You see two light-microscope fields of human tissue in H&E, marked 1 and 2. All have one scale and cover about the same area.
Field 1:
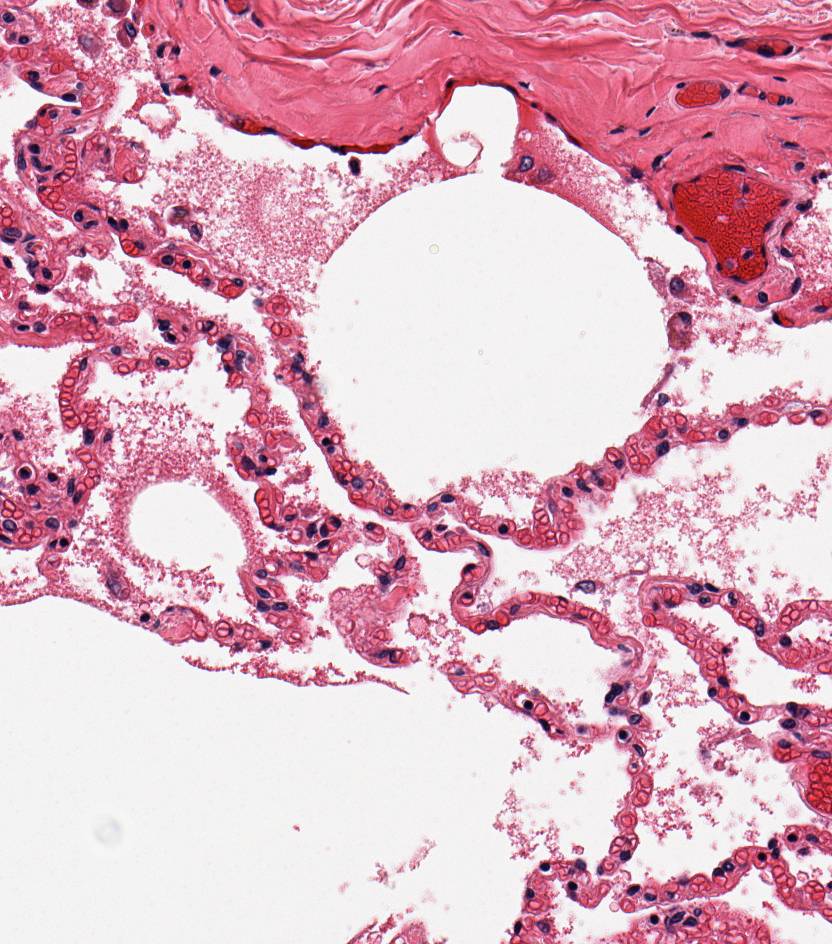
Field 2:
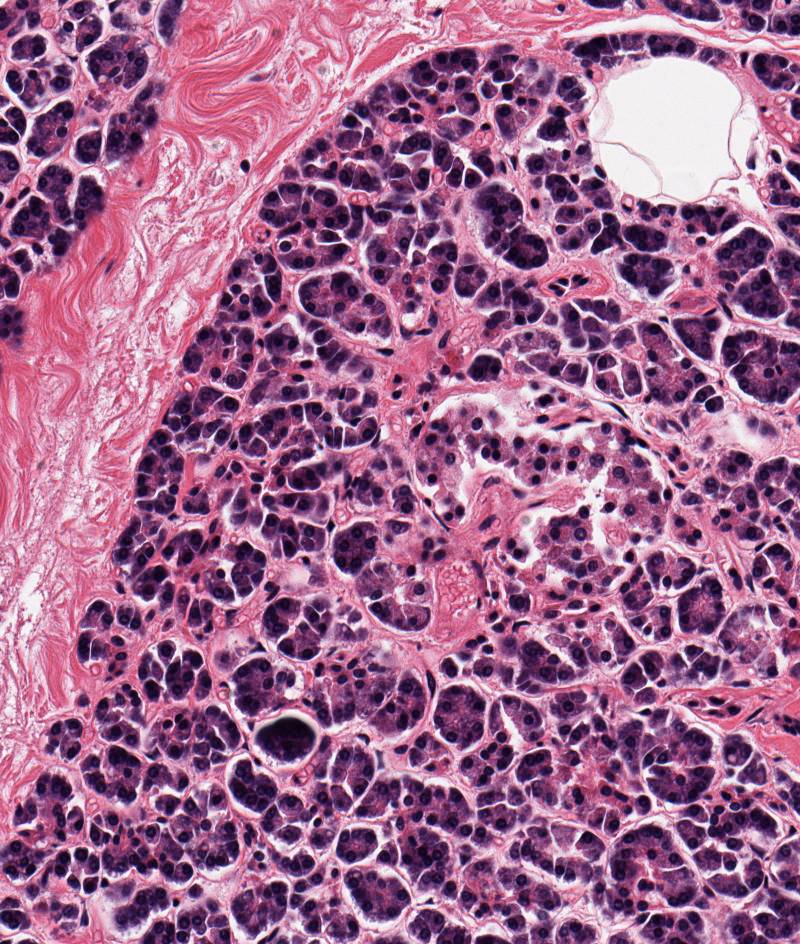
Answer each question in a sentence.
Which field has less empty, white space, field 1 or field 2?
It is field 2 that stained tissue fills more completely.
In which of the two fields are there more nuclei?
The larger number of nuclei is in field 2.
